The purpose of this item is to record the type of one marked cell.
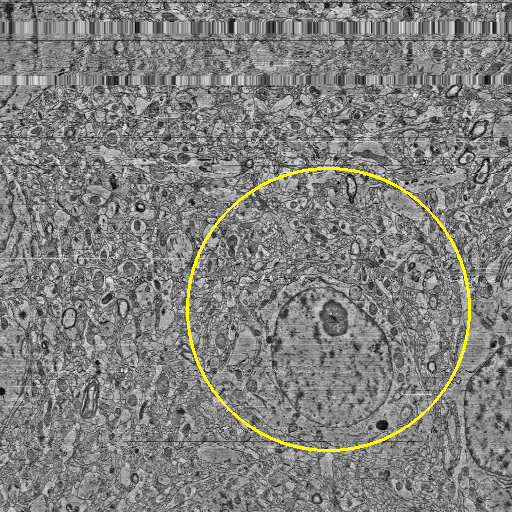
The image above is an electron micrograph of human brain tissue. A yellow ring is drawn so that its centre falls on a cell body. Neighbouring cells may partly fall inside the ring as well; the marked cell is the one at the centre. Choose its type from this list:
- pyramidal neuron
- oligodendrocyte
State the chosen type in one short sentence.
What the ring marks here is a pyramidal neuron.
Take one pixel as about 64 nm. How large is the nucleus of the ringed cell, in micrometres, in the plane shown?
The ringed cell's nucleus measures approximately 9 by 8 micrometres in this plane.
